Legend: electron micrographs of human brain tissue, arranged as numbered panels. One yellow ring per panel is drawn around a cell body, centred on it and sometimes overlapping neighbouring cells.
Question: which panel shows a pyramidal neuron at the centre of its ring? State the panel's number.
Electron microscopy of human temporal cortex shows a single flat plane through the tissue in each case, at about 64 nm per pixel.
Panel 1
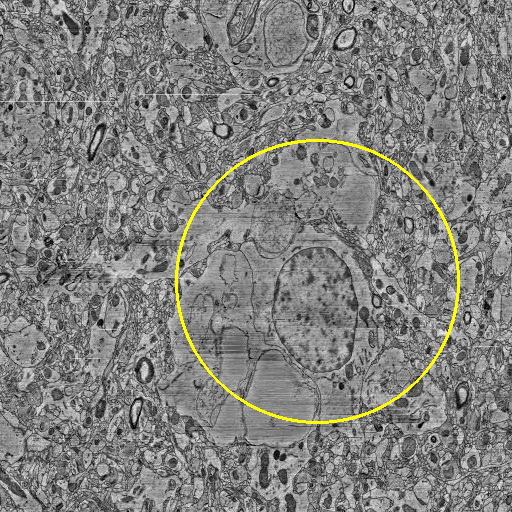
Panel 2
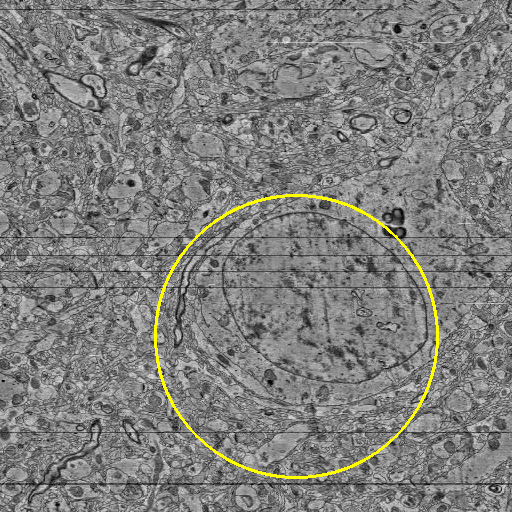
2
